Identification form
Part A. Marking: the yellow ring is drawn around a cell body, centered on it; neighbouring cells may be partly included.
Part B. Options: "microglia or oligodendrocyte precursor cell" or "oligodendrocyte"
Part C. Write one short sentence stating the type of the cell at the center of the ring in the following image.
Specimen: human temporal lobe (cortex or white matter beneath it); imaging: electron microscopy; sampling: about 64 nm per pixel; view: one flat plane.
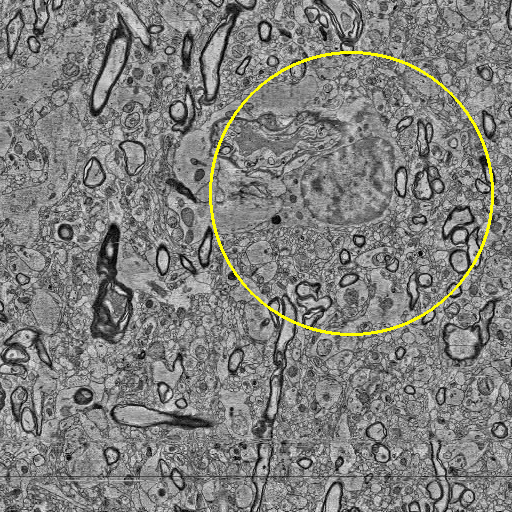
The center of the ring holds an oligodendrocyte.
